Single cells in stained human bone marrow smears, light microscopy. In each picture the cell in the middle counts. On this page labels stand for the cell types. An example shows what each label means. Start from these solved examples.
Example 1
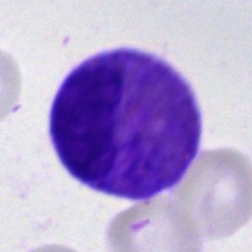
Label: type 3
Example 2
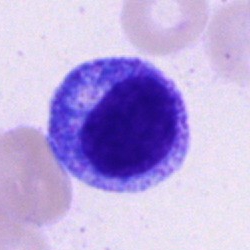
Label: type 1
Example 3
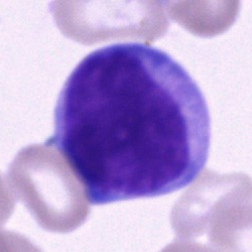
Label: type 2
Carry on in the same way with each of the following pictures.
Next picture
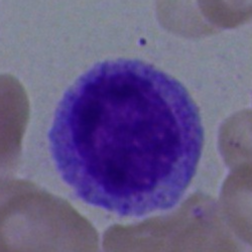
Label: type 1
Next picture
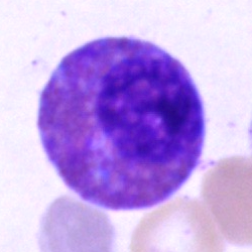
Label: type 3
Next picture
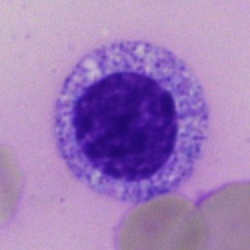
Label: type 1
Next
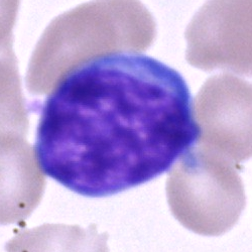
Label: type 2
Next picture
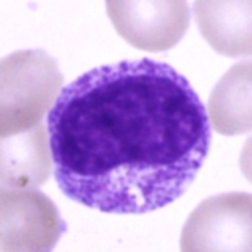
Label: type 1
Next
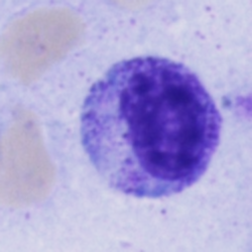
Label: type 1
